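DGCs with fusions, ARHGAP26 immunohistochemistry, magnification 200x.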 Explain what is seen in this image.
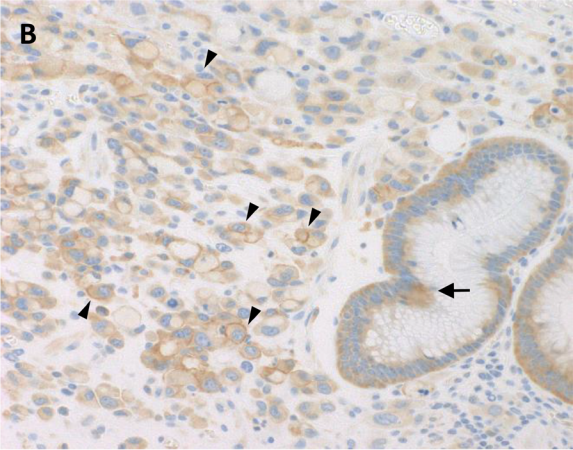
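This section shows normal glandular epithelium beside infiltrating cancer cells. On the right, a gland is lined by a single layer of tall columnar cells with pale apical mucin and basally placed nuclei, with a light brown stain in the cytoplasm. On the left, discohesive cancer cells lie singly and in loose groups within the stroma. Many of these cells are rounded with pale or vacuolated cytoplasm and light brown staining in the cytoplasm and along the cell borders. The cancer cells do not form glands.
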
